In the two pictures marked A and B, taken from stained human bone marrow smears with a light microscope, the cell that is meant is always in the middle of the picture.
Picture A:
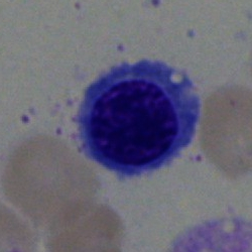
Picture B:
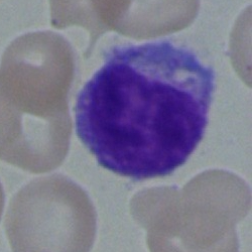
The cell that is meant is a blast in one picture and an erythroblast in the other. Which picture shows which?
A: erythroblast
B: blast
